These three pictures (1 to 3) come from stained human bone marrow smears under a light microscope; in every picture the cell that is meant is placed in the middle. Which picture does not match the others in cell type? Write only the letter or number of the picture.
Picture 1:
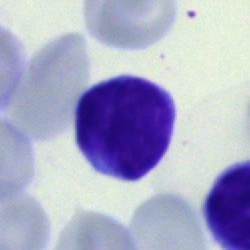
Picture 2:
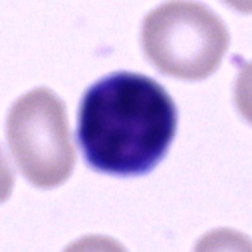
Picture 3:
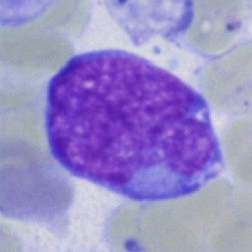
3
